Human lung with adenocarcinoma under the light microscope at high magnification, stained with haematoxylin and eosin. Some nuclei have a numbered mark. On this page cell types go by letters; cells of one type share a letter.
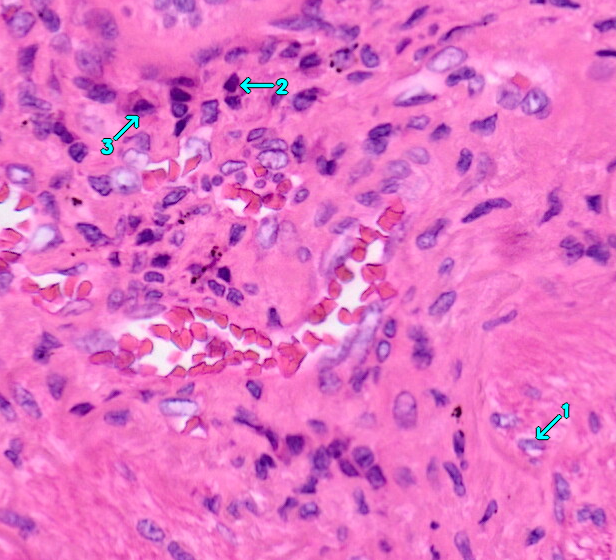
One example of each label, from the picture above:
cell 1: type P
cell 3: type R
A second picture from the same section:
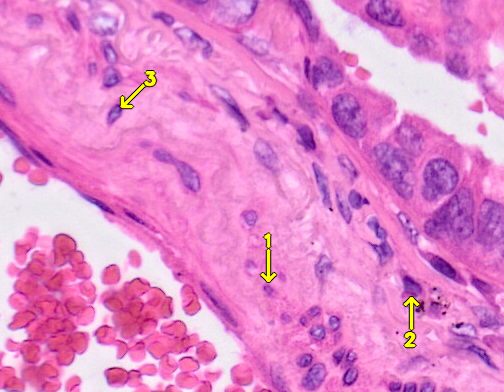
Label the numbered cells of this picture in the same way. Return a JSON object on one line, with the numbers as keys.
{"1": "type P", "2": "type R", "3": "type P"}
